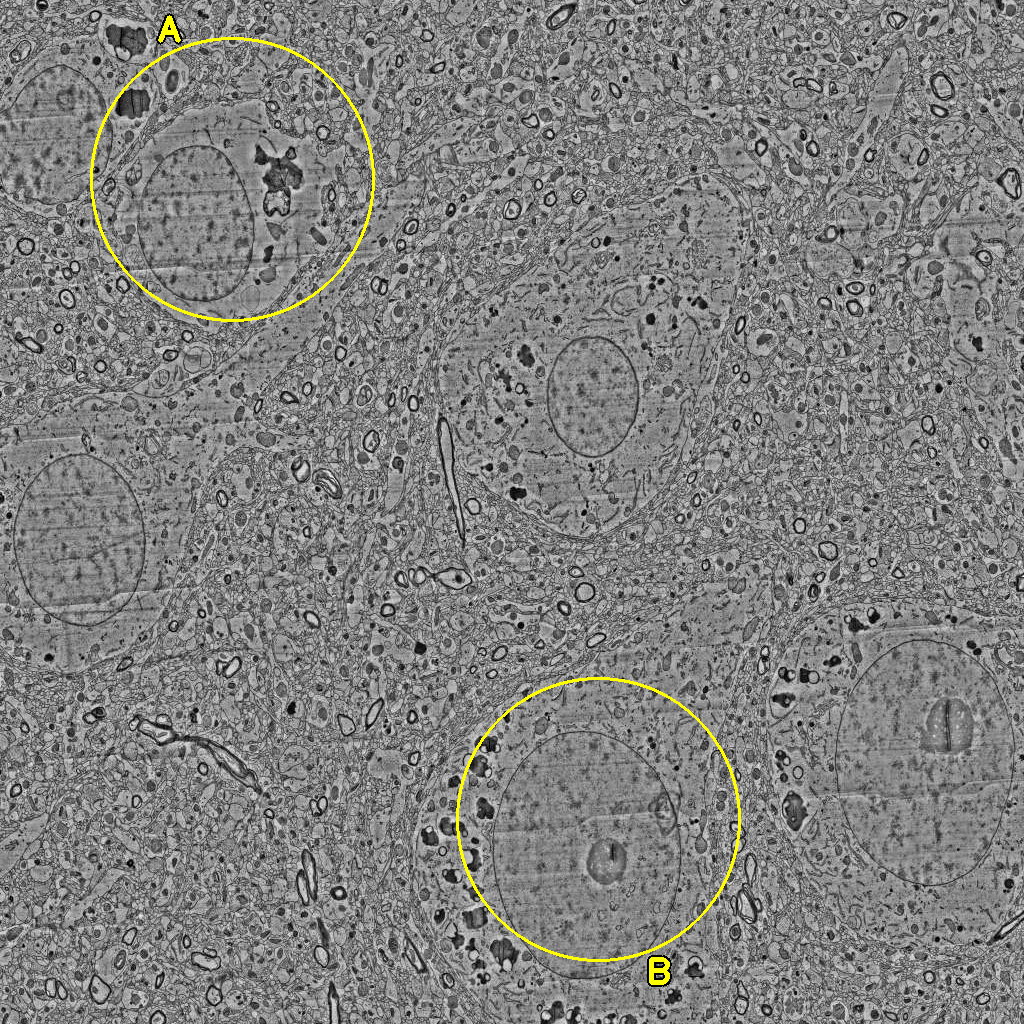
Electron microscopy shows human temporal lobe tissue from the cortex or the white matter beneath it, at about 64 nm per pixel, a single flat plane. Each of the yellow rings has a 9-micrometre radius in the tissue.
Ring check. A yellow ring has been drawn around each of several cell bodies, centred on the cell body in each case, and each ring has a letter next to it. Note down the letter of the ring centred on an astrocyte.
A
